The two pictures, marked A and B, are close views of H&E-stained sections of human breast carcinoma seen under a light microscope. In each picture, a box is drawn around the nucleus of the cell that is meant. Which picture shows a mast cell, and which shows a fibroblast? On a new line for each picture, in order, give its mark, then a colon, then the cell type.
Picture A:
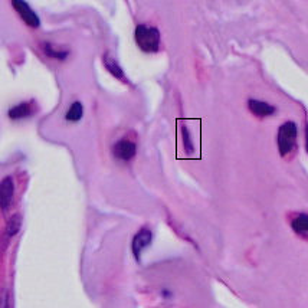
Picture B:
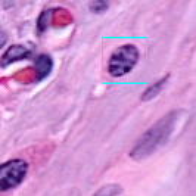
A: fibroblast
B: mast cell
